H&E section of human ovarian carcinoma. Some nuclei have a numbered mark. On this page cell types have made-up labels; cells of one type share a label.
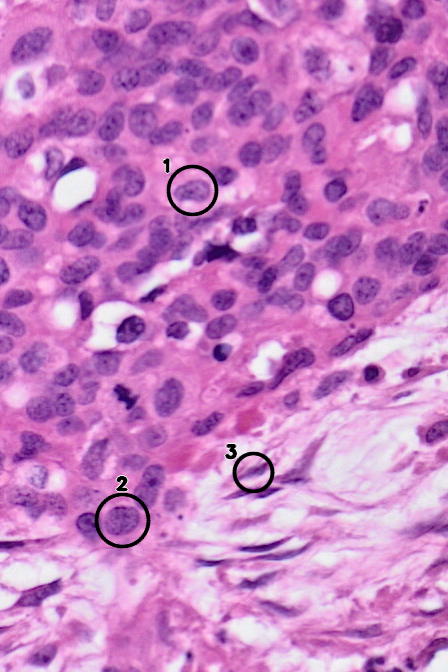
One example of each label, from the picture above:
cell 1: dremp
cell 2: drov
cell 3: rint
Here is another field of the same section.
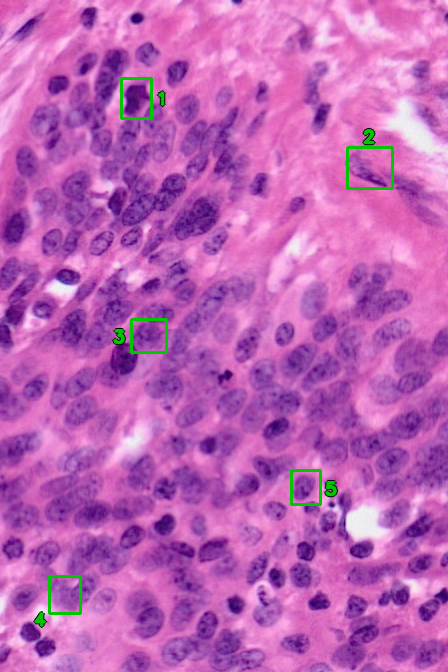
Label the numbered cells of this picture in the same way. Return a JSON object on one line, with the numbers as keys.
{"1": "drov", "2": "rint", "3": "drov", "4": "drov", "5": "dremp"}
